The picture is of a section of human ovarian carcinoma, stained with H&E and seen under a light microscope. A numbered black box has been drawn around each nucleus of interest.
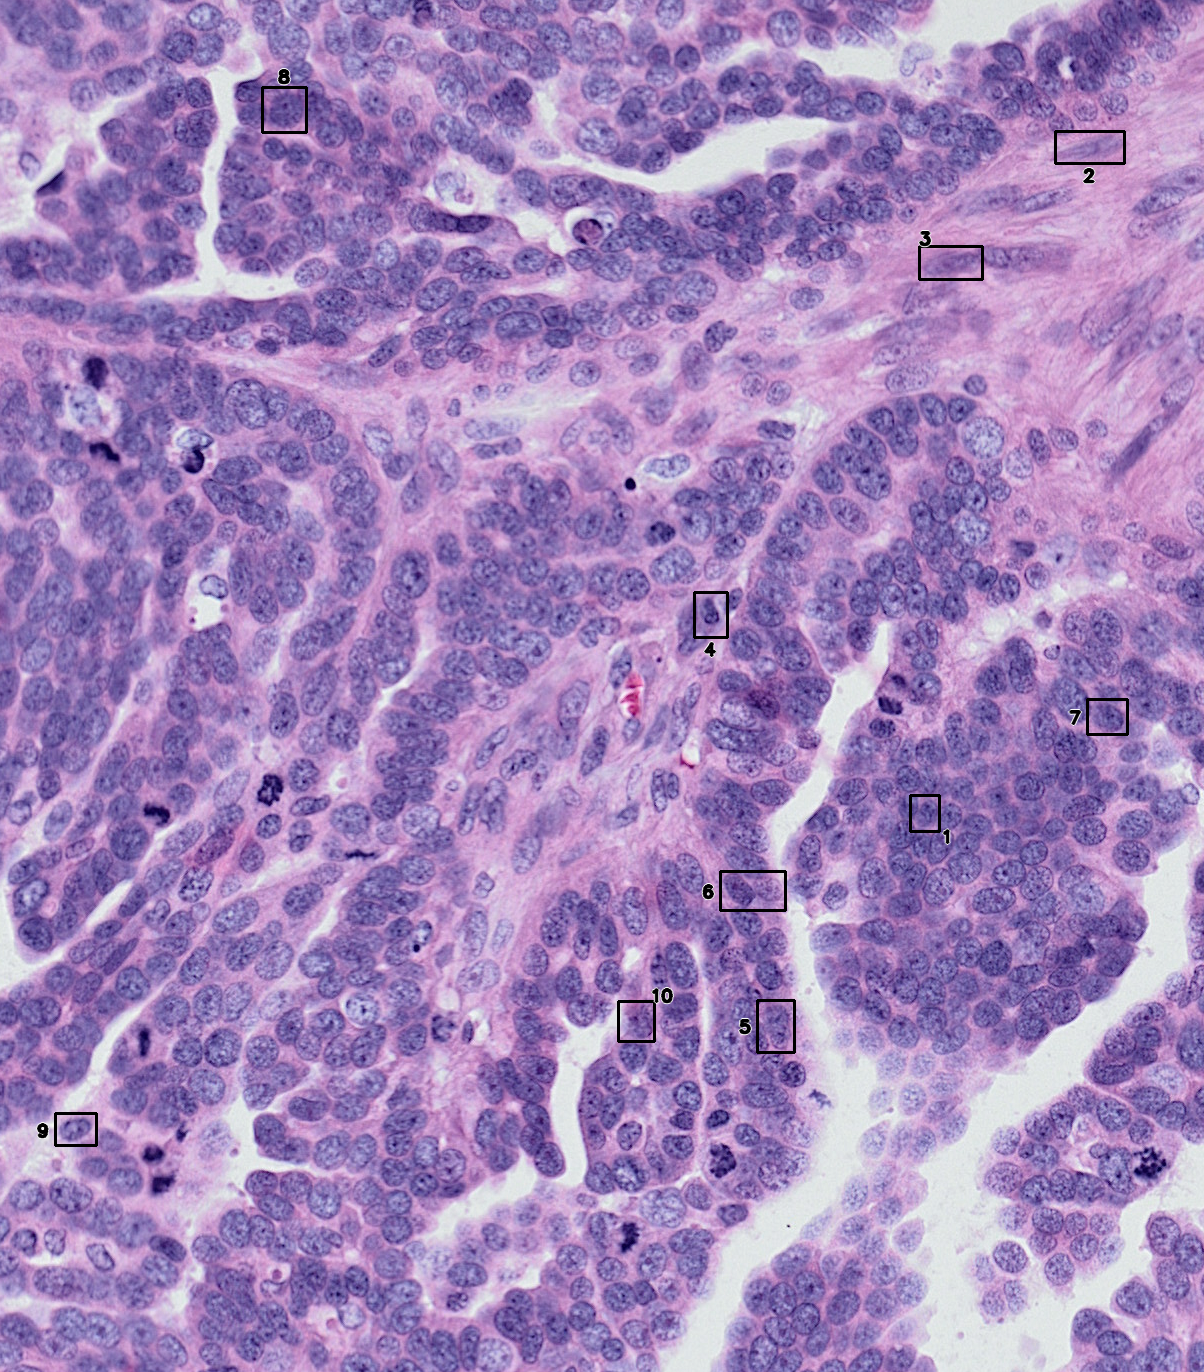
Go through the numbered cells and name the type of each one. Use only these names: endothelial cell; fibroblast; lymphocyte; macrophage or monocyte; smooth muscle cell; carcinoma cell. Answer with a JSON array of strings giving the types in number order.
["carcinoma cell", "fibroblast", "fibroblast", "macrophage or monocyte", "carcinoma cell", "carcinoma cell", "carcinoma cell", "carcinoma cell", "macrophage or monocyte", "carcinoma cell"]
